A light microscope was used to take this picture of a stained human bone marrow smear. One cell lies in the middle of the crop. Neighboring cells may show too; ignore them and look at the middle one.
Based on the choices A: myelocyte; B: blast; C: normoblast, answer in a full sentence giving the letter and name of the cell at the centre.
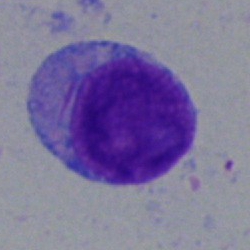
The one cell at the centre is a blast, as correctly stated in option B.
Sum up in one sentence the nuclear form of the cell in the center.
The nucleus holds together as a single compact mass, round, oval or kidney-like.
